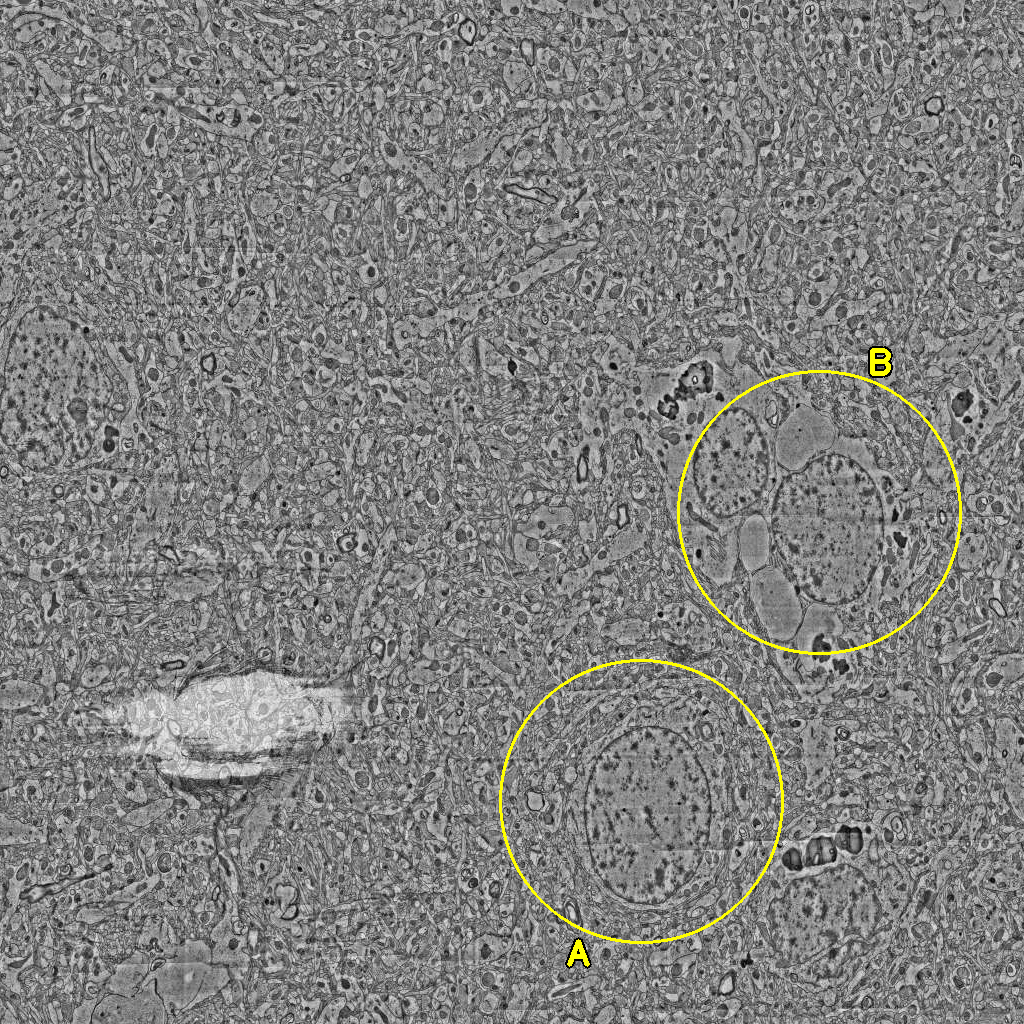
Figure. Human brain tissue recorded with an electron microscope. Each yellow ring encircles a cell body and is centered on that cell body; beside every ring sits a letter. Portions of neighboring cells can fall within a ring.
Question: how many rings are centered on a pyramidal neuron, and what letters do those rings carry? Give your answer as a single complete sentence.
Centred on a pyramidal neuron is a single ring, and the letter next to it is A.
